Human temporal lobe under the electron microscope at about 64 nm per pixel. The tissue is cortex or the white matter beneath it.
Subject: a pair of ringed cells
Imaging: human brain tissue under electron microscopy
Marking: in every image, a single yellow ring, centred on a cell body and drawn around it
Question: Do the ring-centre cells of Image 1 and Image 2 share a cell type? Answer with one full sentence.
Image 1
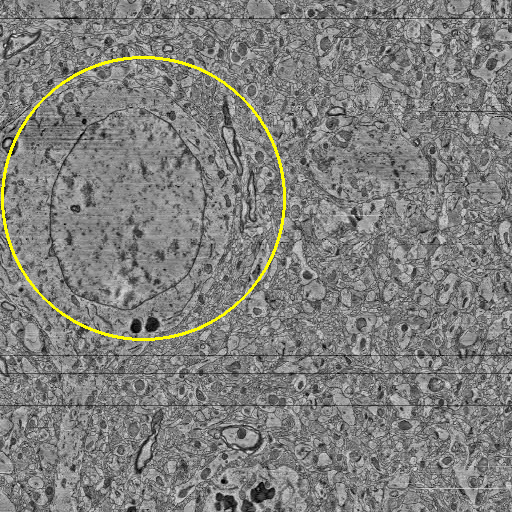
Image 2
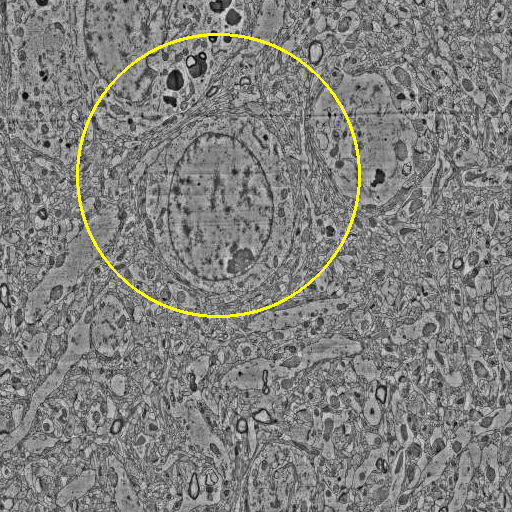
Yes, at each ring's centre in the images sits a cell of one common type.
